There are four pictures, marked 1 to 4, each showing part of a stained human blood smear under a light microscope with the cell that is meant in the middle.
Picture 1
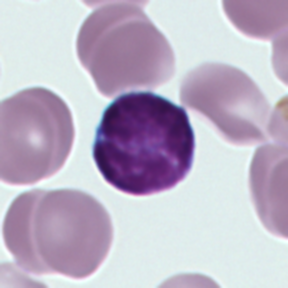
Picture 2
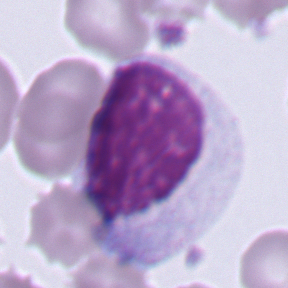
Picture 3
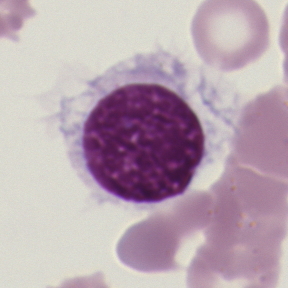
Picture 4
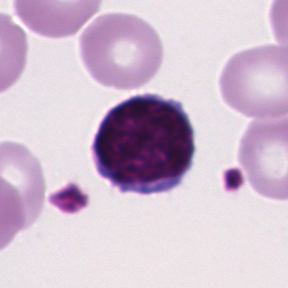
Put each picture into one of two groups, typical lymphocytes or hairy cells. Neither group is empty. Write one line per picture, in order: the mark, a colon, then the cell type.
1: typical lymphocyte
2: typical lymphocyte
3: hairy cell
4: typical lymphocyte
